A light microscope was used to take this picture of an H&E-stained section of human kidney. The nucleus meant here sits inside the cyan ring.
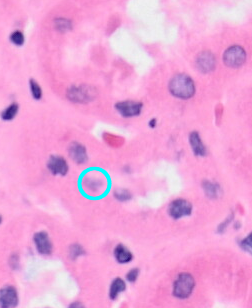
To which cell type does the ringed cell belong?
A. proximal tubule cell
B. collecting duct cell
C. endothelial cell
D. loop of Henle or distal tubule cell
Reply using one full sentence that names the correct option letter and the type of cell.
Option D names it right: the ringed cell is a loop of Henle or distal tubule cell.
